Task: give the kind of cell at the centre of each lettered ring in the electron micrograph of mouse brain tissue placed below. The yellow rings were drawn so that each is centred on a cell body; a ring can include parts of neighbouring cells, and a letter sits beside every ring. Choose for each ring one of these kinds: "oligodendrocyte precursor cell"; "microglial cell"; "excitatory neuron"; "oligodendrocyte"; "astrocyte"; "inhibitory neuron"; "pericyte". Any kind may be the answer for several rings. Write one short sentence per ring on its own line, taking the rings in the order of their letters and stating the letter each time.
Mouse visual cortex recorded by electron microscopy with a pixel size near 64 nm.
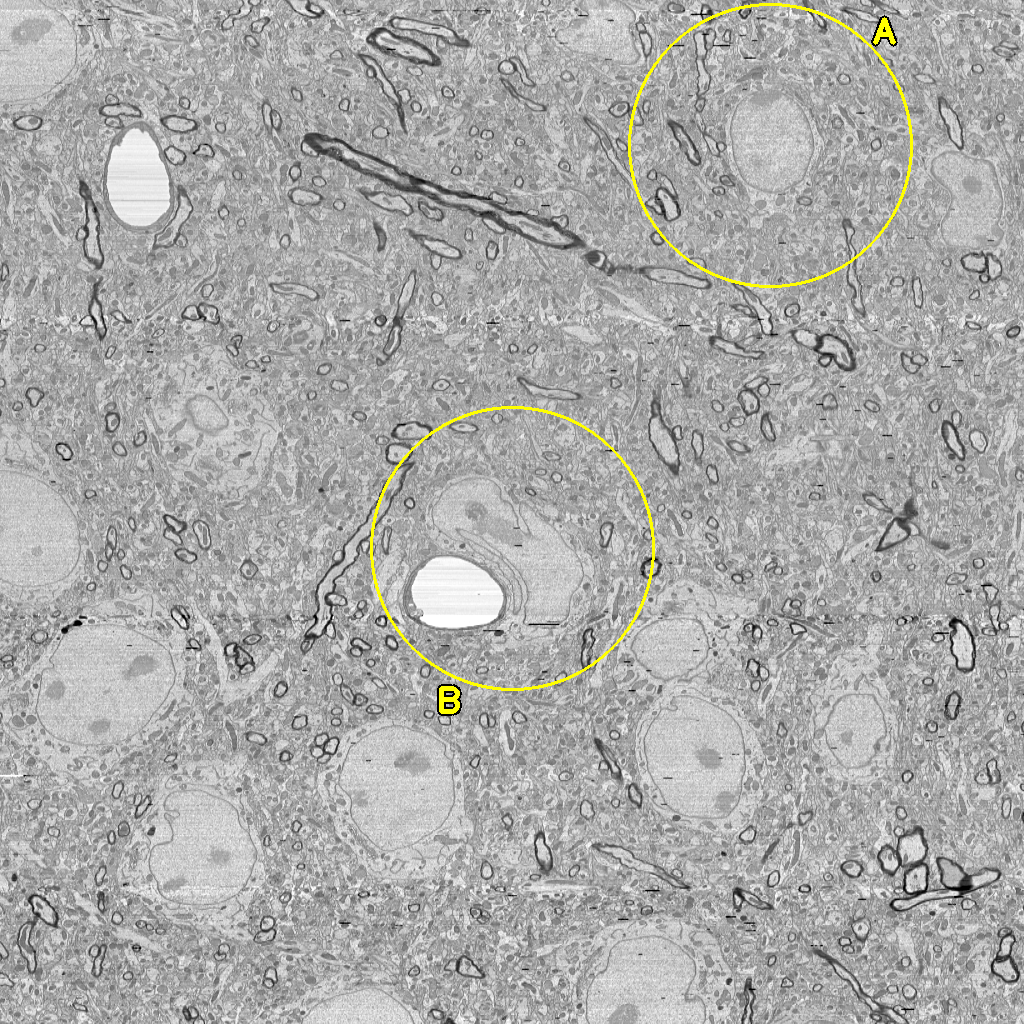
The yellow ring marked A surrounds an astrocyte.
The yellow ring marked B surrounds an inhibitory neuron.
